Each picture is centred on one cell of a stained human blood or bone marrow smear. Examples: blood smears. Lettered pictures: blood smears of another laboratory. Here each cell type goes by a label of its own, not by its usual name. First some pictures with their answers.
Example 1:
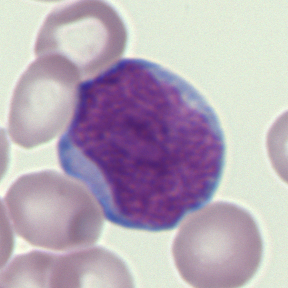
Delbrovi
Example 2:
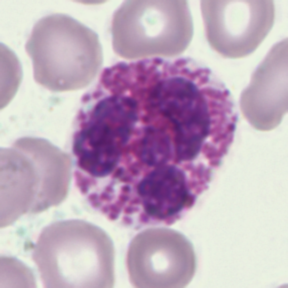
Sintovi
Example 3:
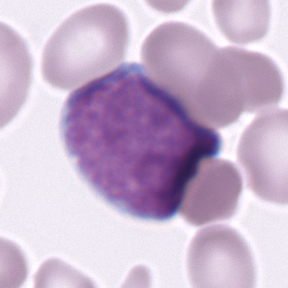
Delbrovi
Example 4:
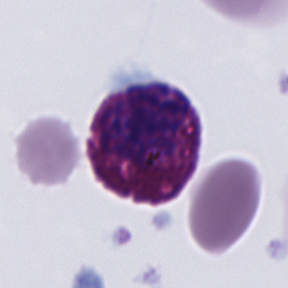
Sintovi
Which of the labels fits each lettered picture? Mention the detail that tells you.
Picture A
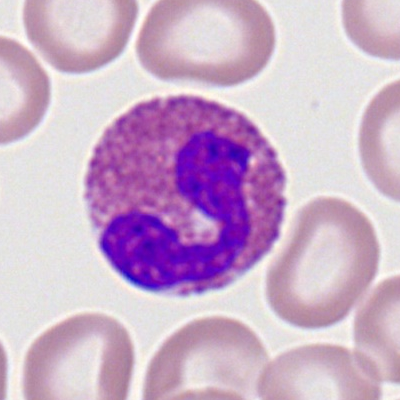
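Answer: Sintovi. The cytoplasm is densely filled with pinkish granules.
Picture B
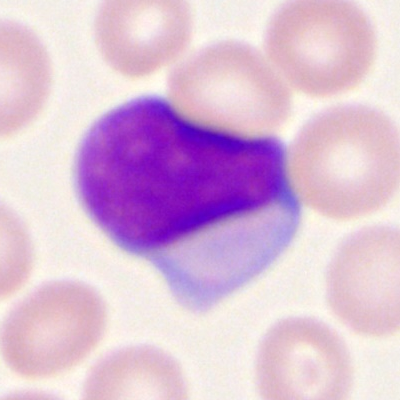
Answer: Delbrovi. The nucleus is a single unlobed mass.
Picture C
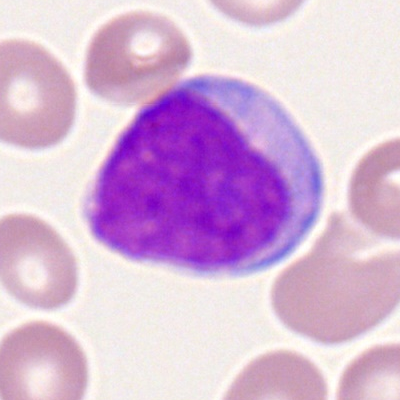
Answer: Delbrovi. The nucleus fills most of the cell.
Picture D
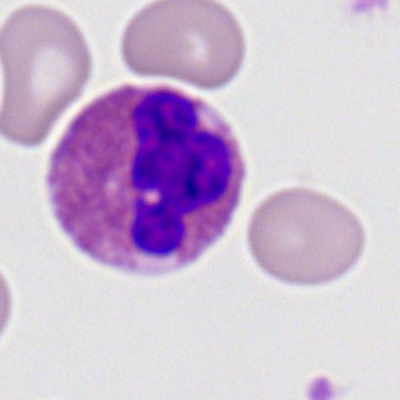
Answer: Sintovi. The cytoplasm is plentiful and pinkish-lilac in colour.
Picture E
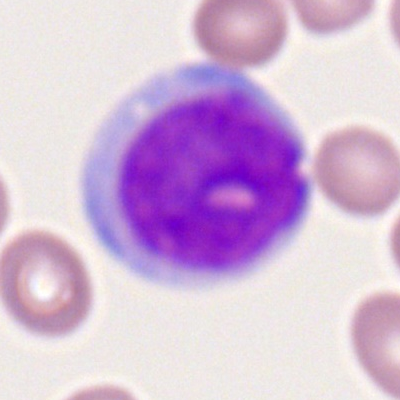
Answer: Delbrovi. The cytoplasm is a narrow rim that is wider on the left side than on the right.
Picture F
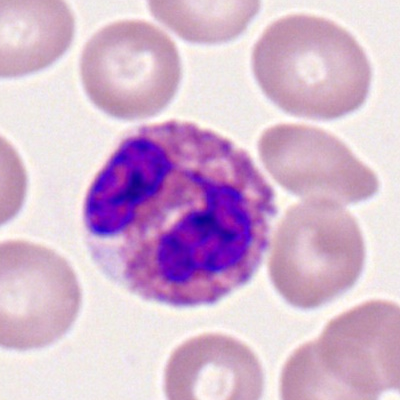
Answer: Sintovi. The cytoplasm is packed with coarse pinkish-orange granules.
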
